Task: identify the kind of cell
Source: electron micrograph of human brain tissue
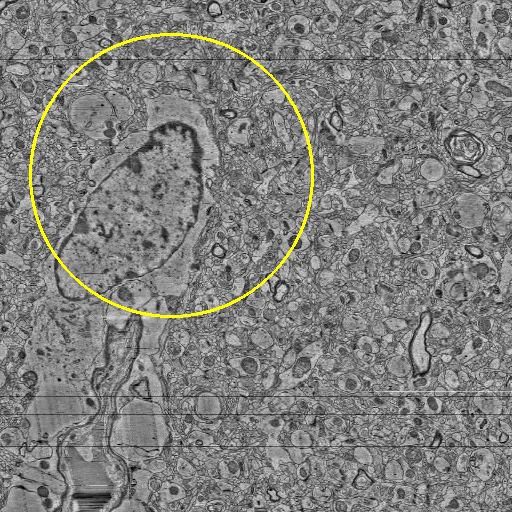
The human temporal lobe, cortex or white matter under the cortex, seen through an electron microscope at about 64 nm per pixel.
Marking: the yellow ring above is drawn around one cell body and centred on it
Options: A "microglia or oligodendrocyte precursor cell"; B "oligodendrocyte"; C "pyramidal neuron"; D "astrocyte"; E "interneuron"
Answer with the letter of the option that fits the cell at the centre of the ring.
A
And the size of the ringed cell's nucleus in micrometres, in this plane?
Approximately 14 micrometres long and 7 micrometres wide, so clearly longer than it is wide in this plane.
